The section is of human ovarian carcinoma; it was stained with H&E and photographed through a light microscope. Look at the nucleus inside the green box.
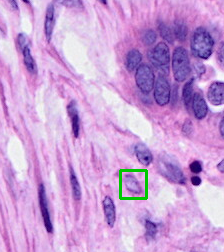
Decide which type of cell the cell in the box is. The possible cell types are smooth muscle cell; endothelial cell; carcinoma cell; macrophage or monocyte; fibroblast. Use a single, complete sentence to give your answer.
The identity of the cell in the box is that of a fibroblast.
